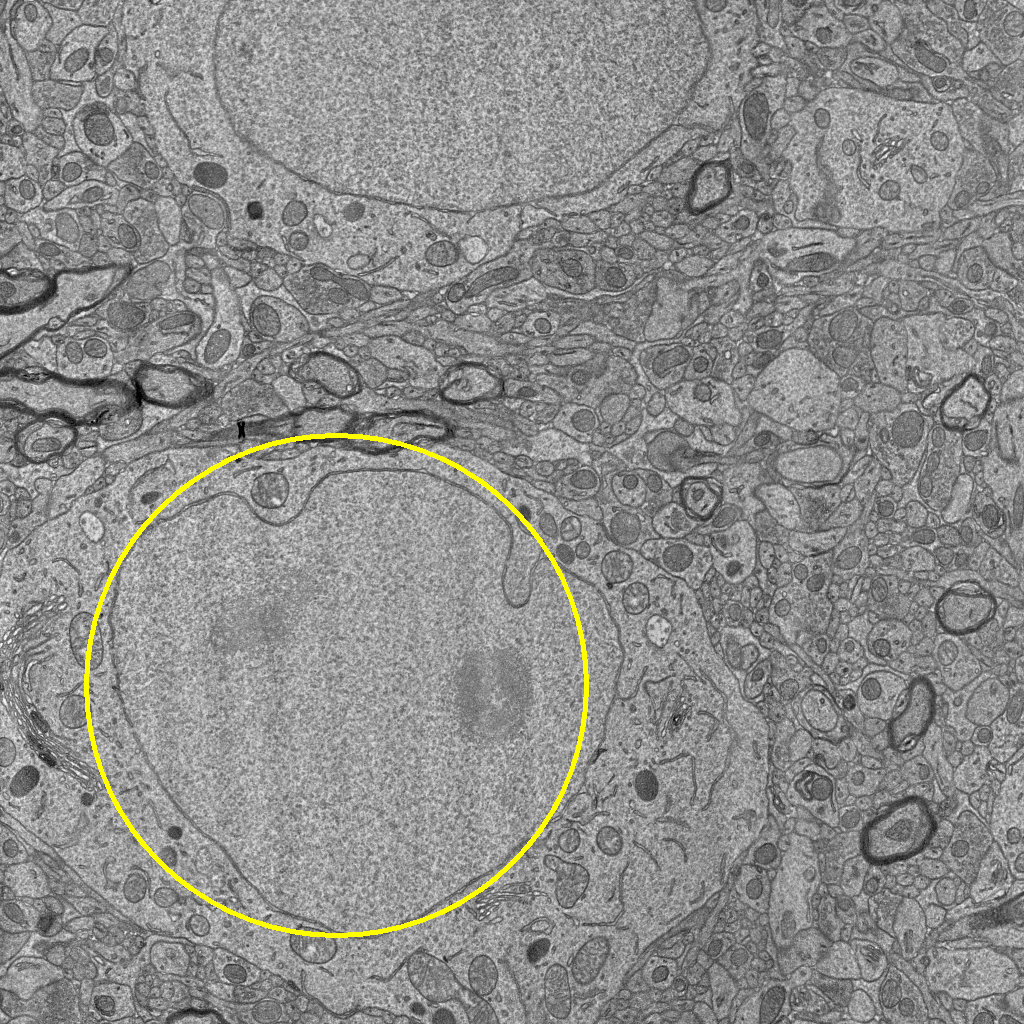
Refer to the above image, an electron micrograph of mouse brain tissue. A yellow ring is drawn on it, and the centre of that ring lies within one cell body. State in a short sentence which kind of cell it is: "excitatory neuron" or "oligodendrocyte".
The centre of the ring falls on an excitatory neuron.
